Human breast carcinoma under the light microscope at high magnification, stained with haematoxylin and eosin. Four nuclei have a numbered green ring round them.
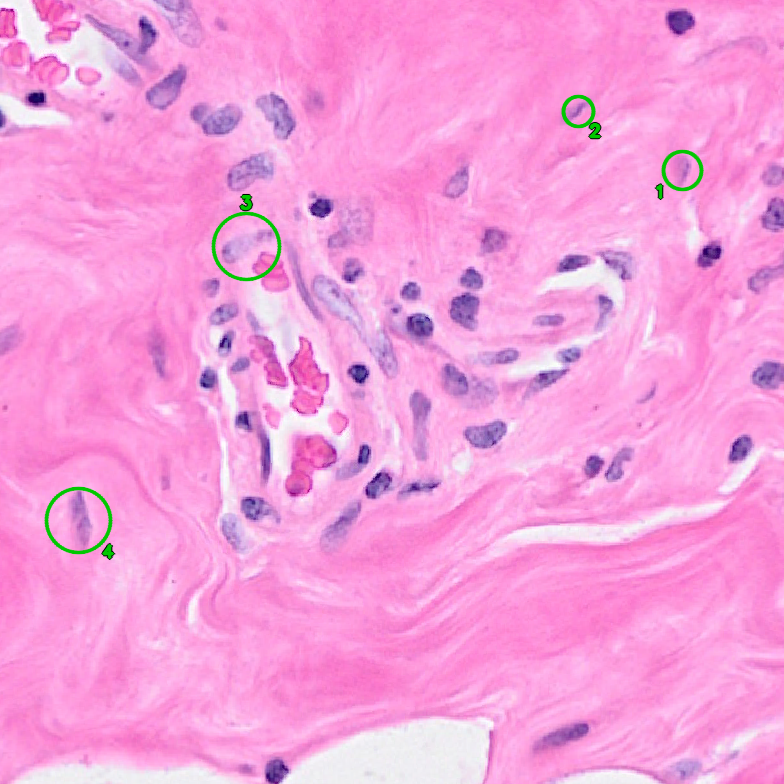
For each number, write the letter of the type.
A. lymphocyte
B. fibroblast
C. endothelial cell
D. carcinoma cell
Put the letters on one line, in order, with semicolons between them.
B; B; C; B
